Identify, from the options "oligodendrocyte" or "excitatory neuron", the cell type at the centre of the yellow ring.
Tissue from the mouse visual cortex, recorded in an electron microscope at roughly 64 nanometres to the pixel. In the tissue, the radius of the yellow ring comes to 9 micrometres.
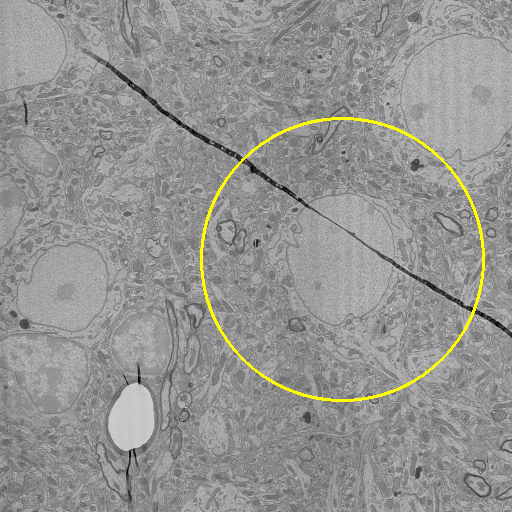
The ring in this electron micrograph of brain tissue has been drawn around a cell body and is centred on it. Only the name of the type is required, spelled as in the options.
excitatory neuron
